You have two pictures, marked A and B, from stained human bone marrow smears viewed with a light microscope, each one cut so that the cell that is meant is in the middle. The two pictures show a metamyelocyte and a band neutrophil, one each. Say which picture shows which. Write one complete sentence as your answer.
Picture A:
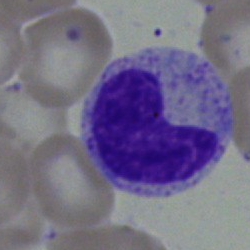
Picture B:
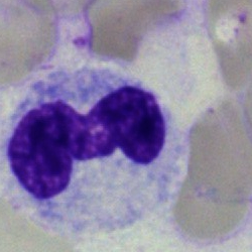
Picture A is of a metamyelocyte, and picture B is of a band neutrophil.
